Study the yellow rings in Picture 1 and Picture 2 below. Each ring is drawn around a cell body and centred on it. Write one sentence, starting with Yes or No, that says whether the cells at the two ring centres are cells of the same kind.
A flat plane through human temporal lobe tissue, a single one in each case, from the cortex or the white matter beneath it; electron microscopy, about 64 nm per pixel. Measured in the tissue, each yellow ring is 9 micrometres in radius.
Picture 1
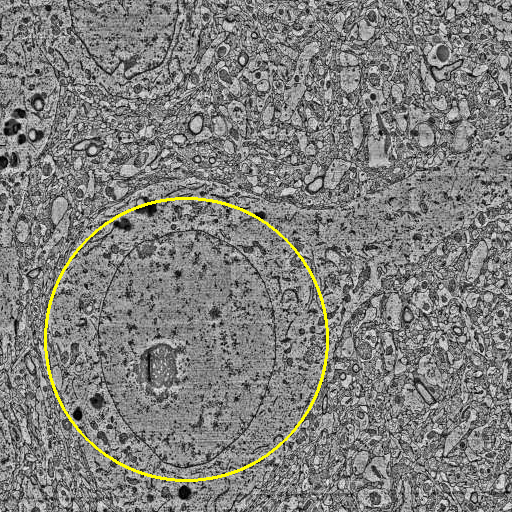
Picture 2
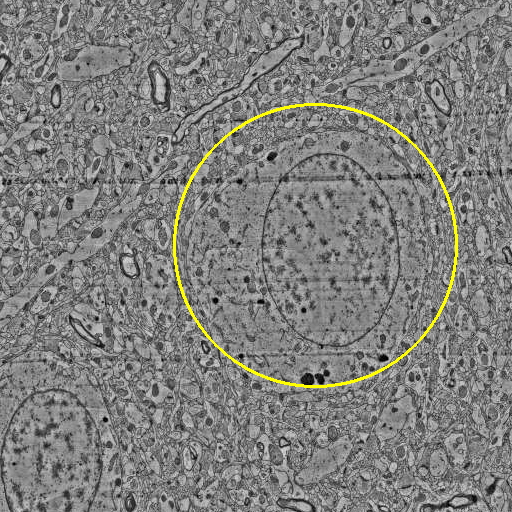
Yes, the cells at both ring centres are of the same kind.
